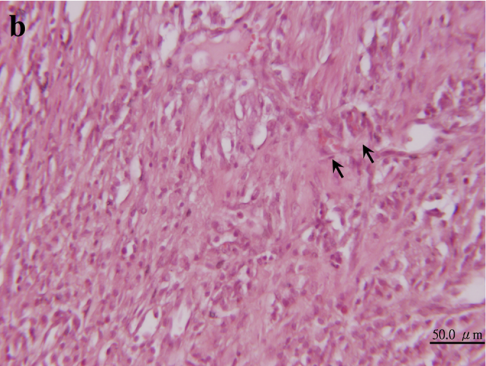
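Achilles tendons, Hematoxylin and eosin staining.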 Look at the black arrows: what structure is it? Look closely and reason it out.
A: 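The lumen lies in densely cellular tissue. So: vascular structure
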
